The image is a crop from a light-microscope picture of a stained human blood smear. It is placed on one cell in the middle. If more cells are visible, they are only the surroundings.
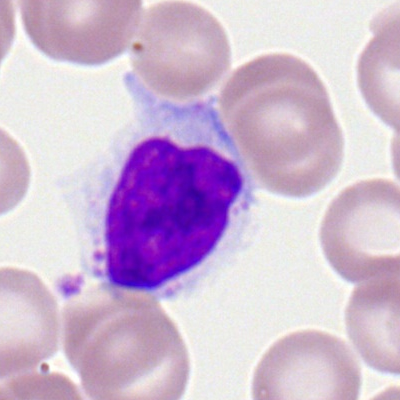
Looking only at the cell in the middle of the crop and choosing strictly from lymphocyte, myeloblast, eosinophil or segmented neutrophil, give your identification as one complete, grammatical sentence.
In the middle of this smear crop, the cell is a lymphocyte.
